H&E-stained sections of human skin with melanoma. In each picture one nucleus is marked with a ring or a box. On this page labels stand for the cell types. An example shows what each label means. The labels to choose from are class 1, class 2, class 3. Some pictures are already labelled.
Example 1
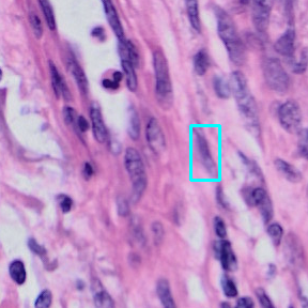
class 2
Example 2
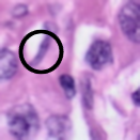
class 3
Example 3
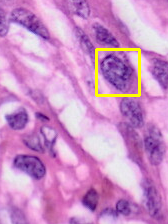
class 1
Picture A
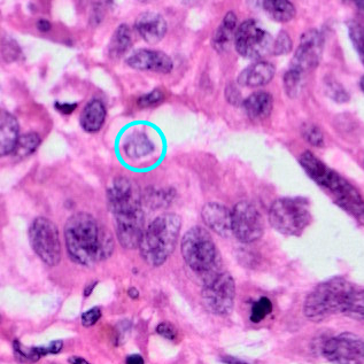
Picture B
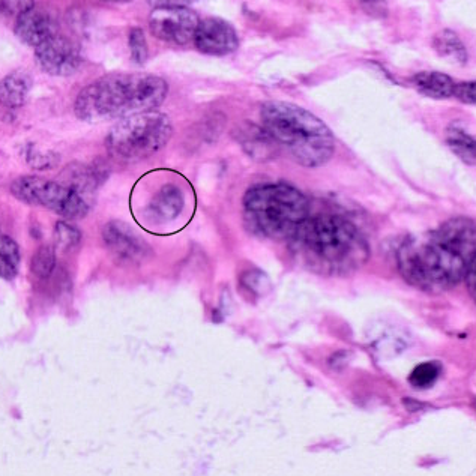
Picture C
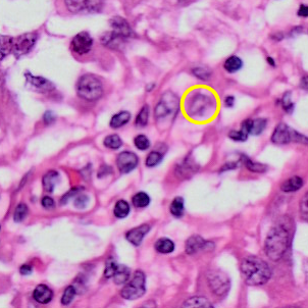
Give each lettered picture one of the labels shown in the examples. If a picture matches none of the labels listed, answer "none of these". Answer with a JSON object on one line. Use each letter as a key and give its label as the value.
{"A": "none of these", "B": "class 3", "C": "class 3"}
